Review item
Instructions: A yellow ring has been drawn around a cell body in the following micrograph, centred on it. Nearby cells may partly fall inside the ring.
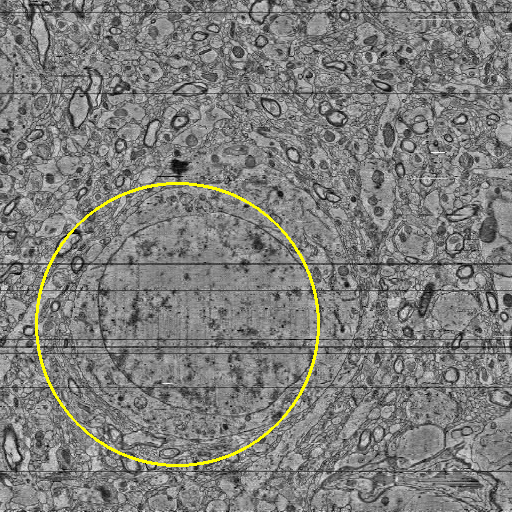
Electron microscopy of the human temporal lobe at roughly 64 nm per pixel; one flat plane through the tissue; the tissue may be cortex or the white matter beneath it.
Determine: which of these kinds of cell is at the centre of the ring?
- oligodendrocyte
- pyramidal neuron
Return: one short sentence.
The cell body in the middle of the ring is that of a pyramidal neuron.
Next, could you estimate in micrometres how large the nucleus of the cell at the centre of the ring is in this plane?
The nucleus measures about 14 micrometers across in this plane.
